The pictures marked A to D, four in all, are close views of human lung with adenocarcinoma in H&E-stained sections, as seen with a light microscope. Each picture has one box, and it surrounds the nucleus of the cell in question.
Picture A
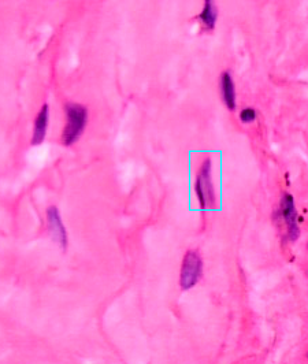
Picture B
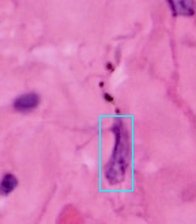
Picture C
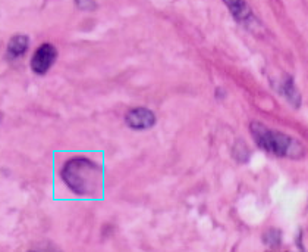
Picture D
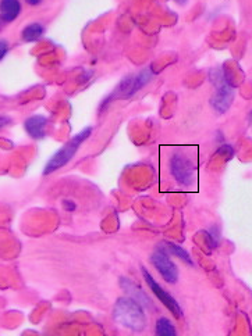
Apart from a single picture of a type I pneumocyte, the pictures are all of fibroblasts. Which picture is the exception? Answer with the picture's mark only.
D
